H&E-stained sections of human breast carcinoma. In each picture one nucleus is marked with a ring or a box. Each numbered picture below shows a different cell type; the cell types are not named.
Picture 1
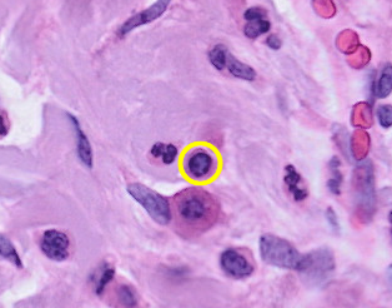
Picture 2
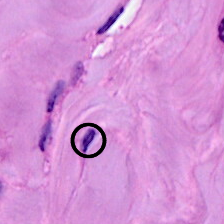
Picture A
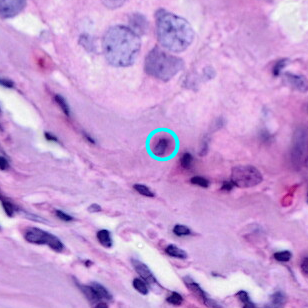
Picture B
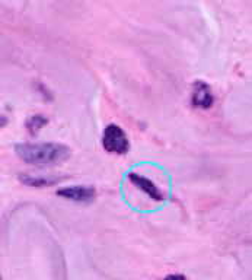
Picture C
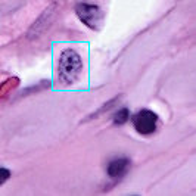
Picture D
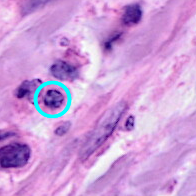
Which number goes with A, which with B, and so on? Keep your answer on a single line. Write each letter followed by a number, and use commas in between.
A 1, B 2, C 1, D 1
